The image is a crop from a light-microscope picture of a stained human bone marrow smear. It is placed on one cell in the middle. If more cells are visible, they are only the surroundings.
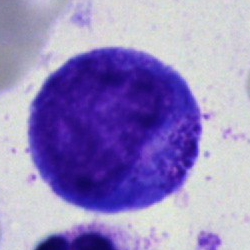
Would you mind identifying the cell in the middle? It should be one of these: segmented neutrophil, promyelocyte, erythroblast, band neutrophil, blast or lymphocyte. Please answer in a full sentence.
In the centre of this crop there is a promyelocyte.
